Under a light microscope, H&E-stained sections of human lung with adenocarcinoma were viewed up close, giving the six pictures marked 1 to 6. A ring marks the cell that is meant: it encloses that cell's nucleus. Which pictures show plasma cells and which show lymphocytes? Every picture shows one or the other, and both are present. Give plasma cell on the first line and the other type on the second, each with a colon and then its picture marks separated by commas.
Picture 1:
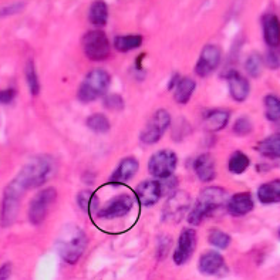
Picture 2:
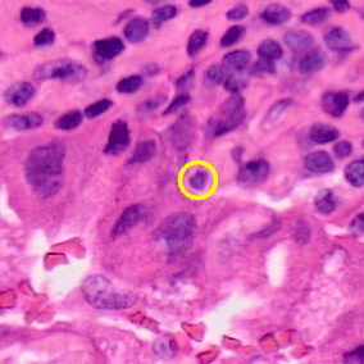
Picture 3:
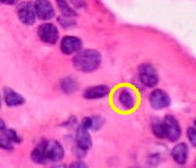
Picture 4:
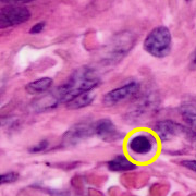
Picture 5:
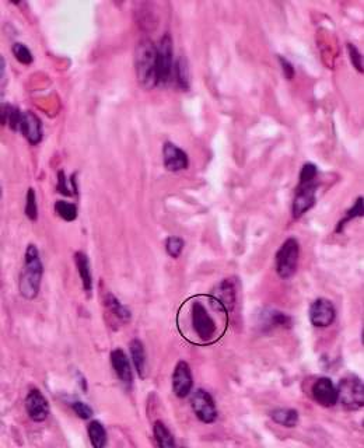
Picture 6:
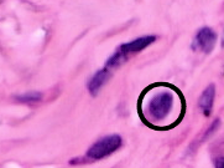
plasma cell: 5, 6
lymphocyte: 1, 2, 3, 4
